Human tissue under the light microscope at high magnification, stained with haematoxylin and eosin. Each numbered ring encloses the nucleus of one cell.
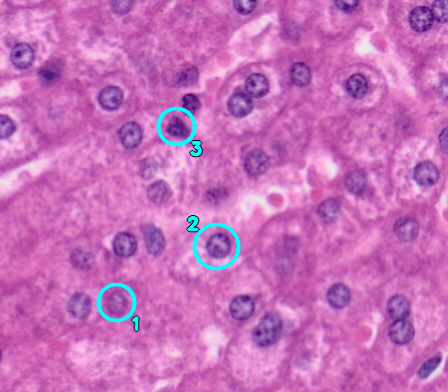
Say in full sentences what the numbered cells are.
Cells 1 and 2 are hepatocytes. Cell 3 is a fibroblast or stellate cell.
